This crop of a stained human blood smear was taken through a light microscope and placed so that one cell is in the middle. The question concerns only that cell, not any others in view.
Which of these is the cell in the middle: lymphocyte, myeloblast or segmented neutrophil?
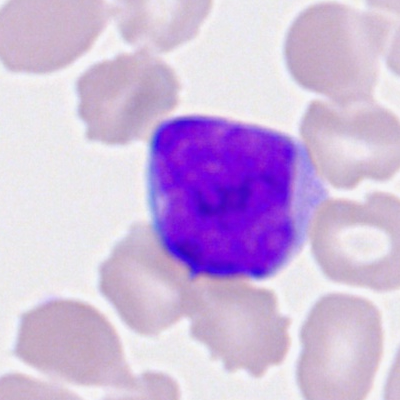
myeloblast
